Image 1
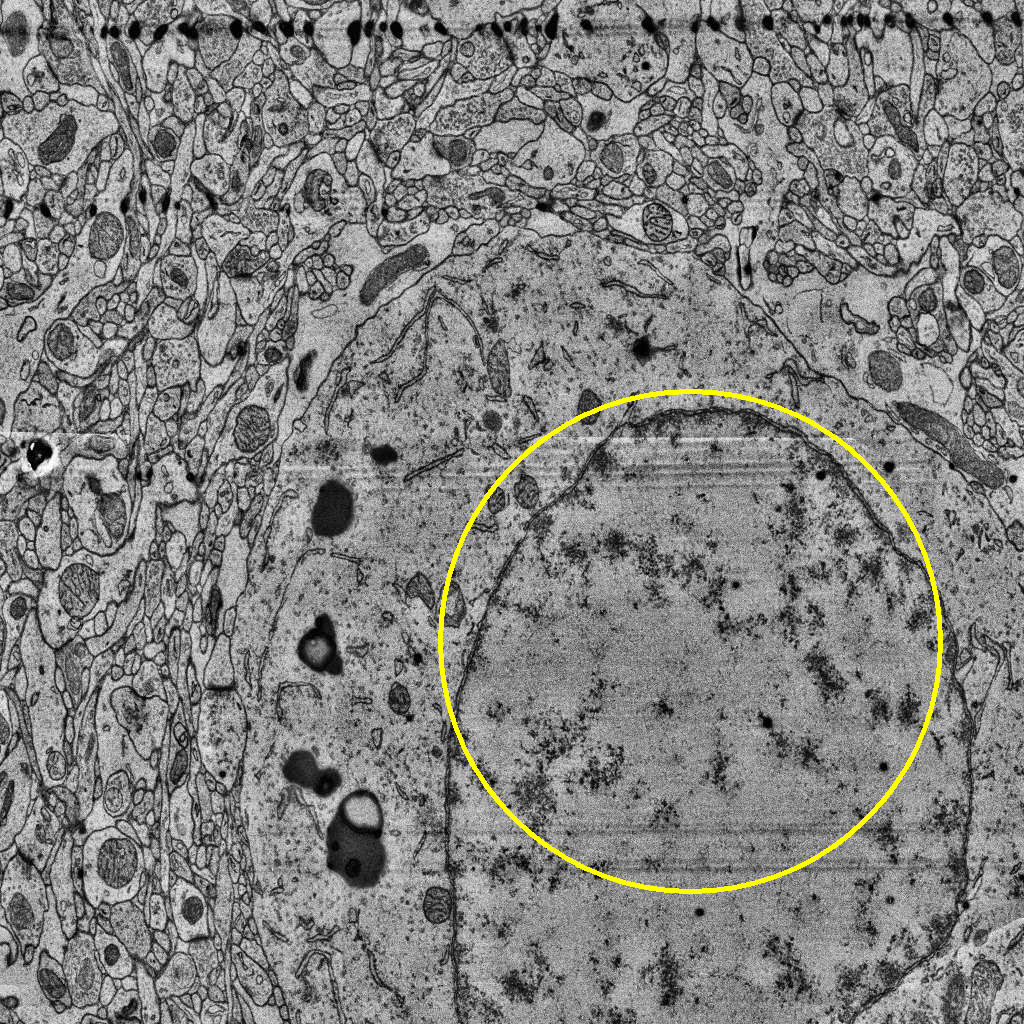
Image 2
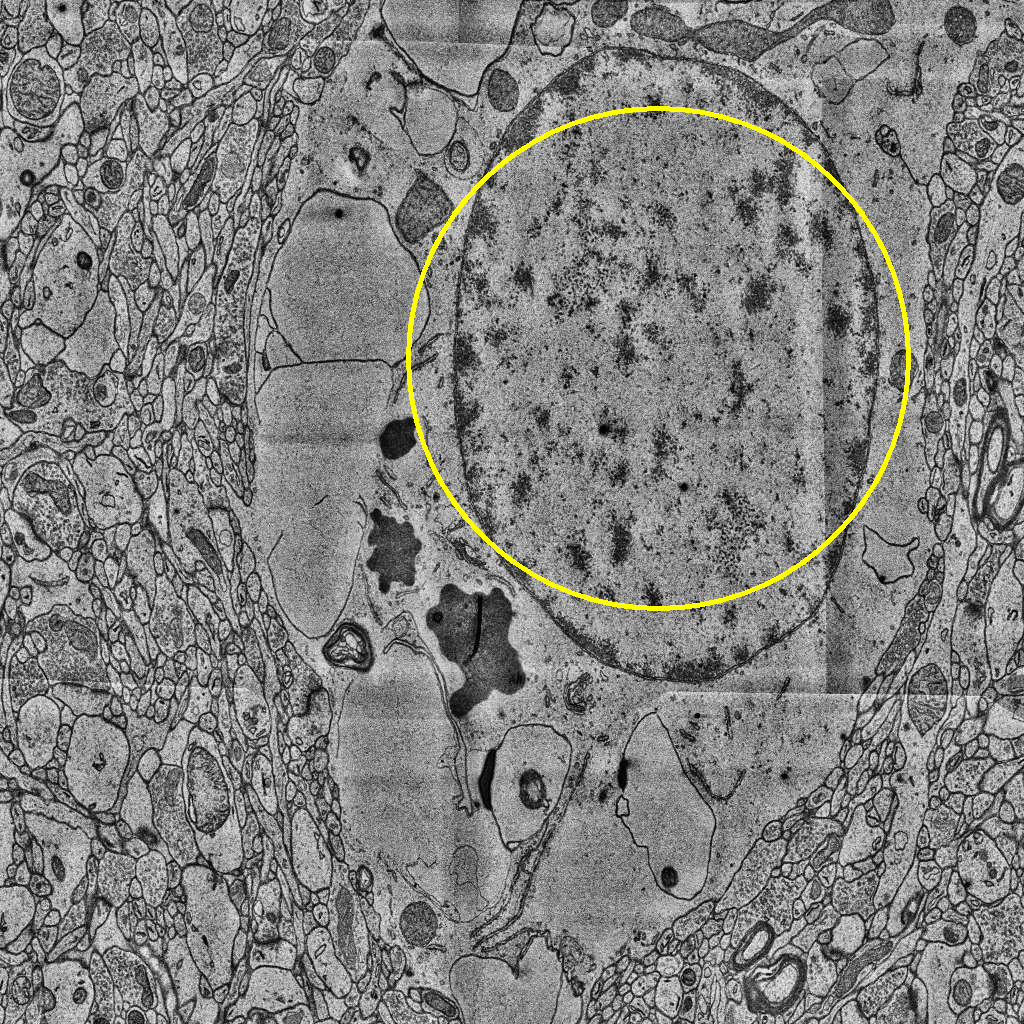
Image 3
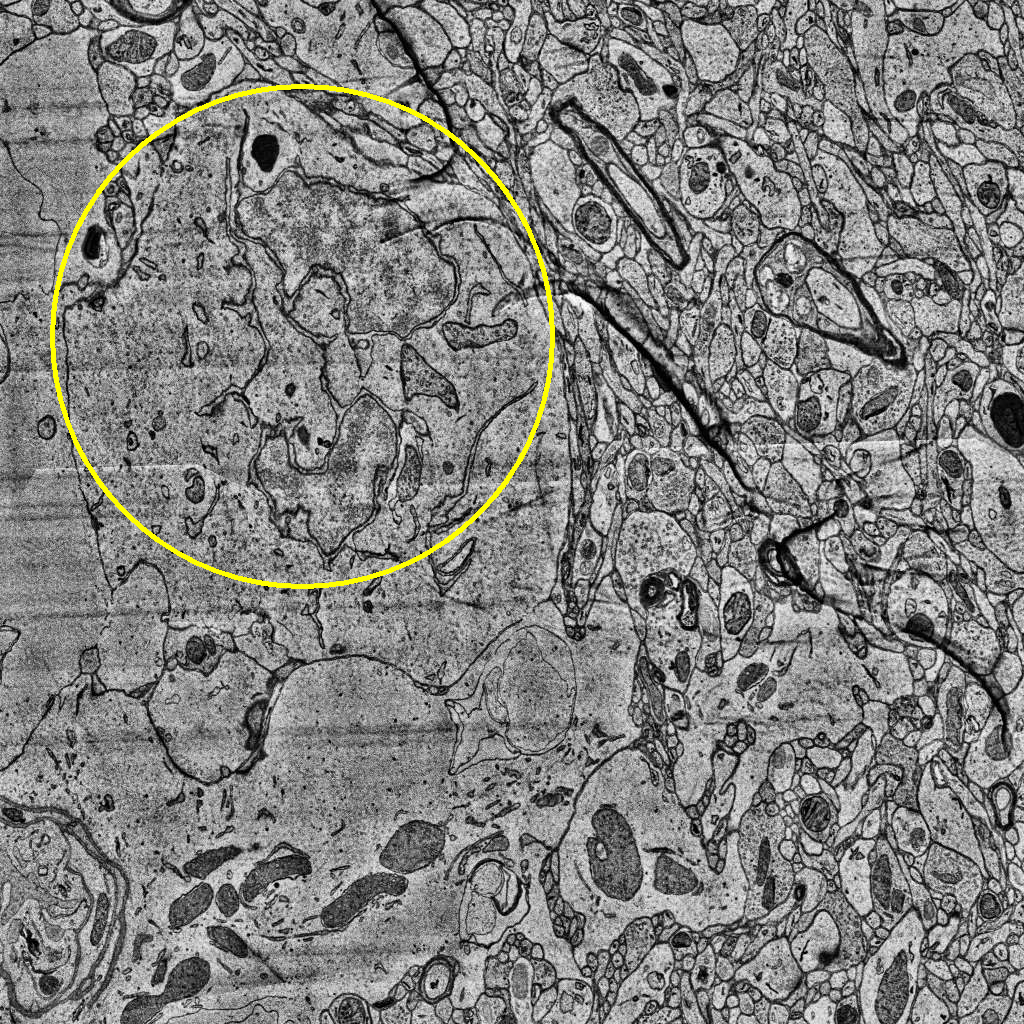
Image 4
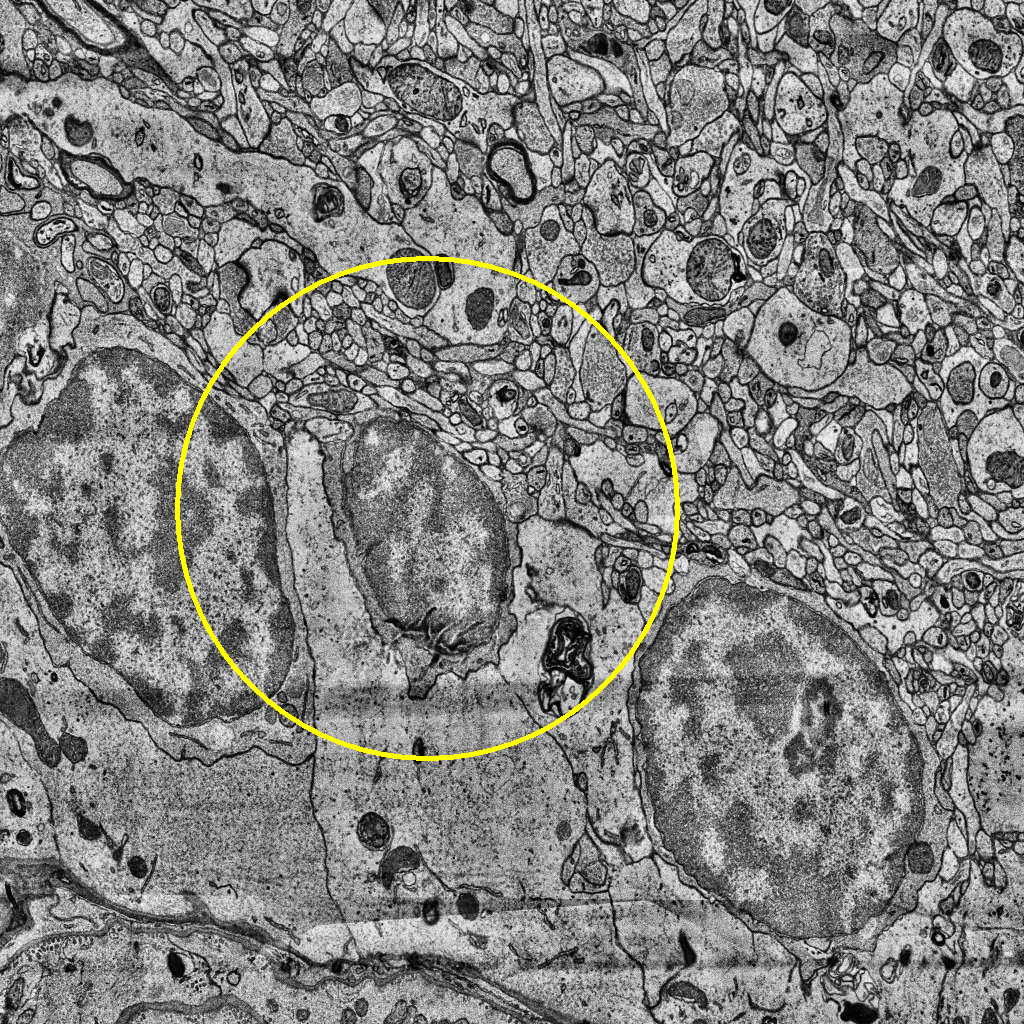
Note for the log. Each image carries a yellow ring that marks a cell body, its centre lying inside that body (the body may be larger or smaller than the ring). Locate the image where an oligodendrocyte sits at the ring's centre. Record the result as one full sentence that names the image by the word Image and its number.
Image 4 has the wanted cell sitting at the centre of its ring.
